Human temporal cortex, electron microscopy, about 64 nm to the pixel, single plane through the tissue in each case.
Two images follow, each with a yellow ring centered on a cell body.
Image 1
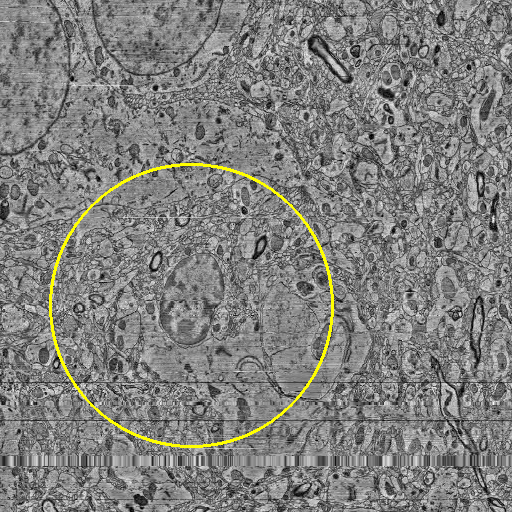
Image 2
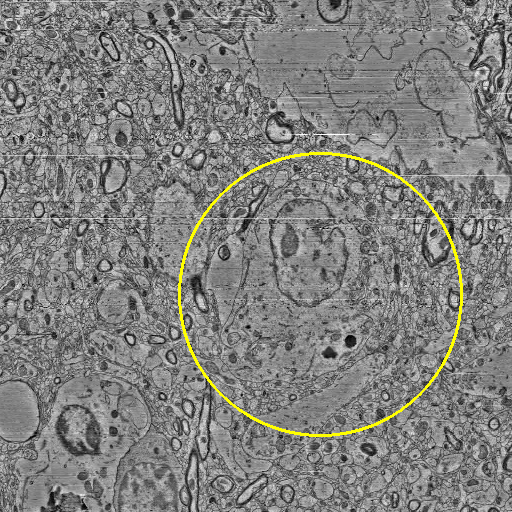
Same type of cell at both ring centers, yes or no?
no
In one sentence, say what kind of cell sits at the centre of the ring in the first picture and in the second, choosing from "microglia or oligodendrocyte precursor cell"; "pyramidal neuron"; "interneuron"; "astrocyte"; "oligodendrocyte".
The first picture's ringed cell is a microglial cell or oligodendrocyte precursor cell, while the second picture's is a pyramidal neuron.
